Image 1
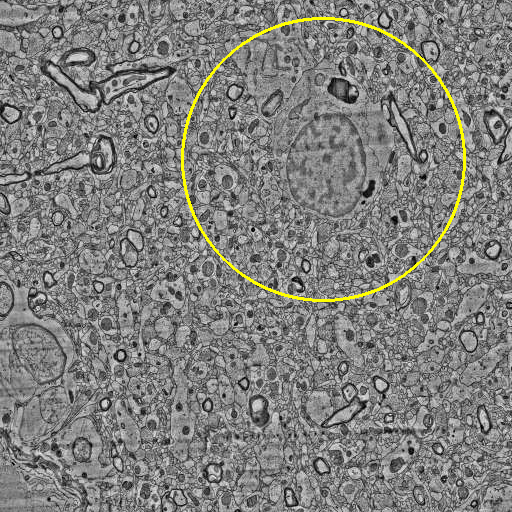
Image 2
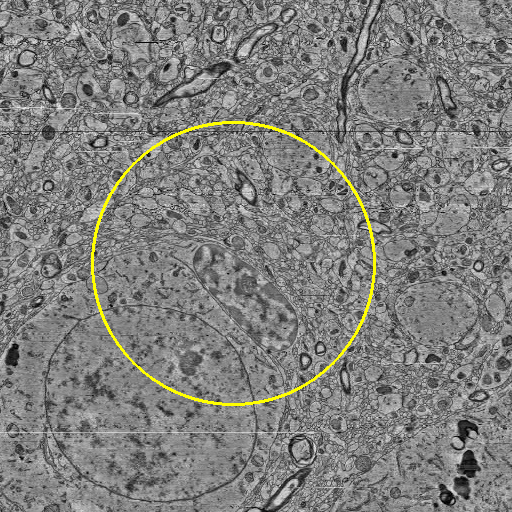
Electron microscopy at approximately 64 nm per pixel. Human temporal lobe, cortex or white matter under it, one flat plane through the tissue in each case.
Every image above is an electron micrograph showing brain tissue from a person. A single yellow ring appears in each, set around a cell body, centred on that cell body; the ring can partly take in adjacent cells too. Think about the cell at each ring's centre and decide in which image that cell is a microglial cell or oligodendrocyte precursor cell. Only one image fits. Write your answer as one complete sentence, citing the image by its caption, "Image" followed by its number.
Image 2 is the one whose ringed central cell fits the description.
